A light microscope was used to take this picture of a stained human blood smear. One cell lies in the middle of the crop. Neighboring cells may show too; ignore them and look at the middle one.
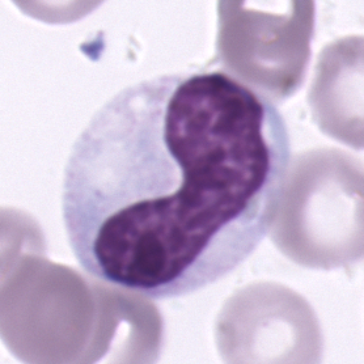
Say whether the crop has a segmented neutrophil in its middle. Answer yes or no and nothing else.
no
